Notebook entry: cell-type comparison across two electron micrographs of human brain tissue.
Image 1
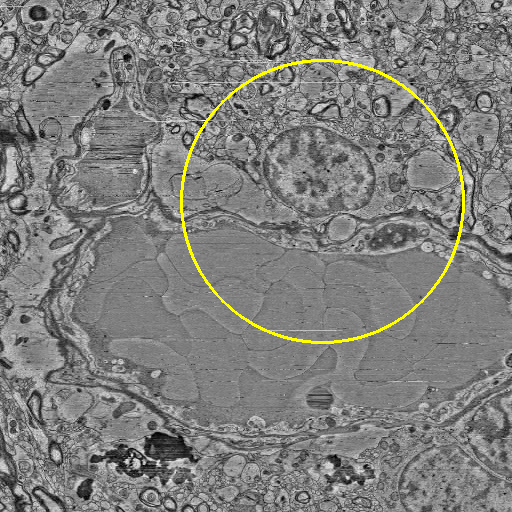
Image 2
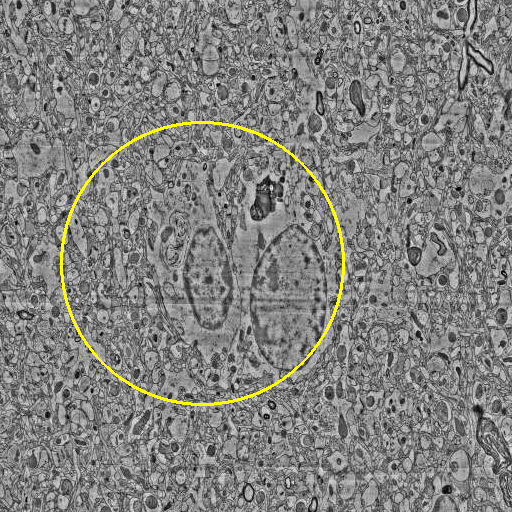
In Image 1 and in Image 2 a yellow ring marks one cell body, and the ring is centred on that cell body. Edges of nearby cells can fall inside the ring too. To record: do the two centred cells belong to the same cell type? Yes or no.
no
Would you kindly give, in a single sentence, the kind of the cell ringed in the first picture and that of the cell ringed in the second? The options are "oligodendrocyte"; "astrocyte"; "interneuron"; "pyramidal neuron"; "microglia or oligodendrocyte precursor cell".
The second cell is an astrocyte, and the first cell is an oligodendrocyte.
